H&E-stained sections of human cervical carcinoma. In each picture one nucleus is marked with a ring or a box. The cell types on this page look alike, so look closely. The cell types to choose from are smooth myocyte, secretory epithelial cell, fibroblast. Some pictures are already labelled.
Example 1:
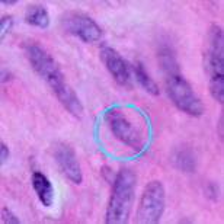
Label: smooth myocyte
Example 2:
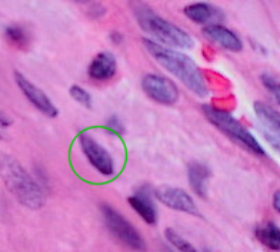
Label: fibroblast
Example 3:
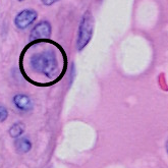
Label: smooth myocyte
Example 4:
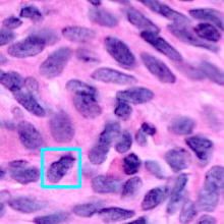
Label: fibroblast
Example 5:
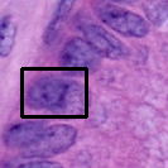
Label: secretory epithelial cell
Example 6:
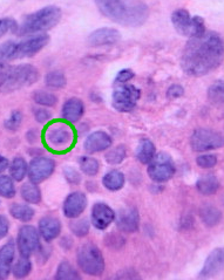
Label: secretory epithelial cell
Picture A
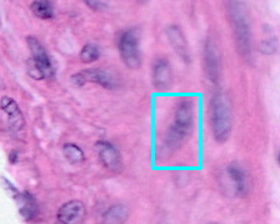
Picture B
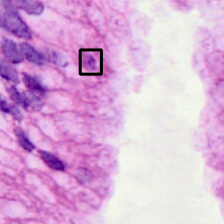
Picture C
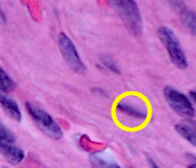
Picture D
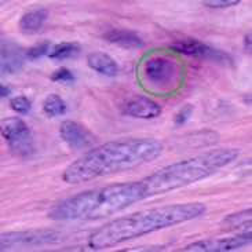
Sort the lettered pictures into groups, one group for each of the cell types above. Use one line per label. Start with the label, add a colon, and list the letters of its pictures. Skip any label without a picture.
smooth myocyte: A, D
secretory epithelial cell: B
fibroblast: C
